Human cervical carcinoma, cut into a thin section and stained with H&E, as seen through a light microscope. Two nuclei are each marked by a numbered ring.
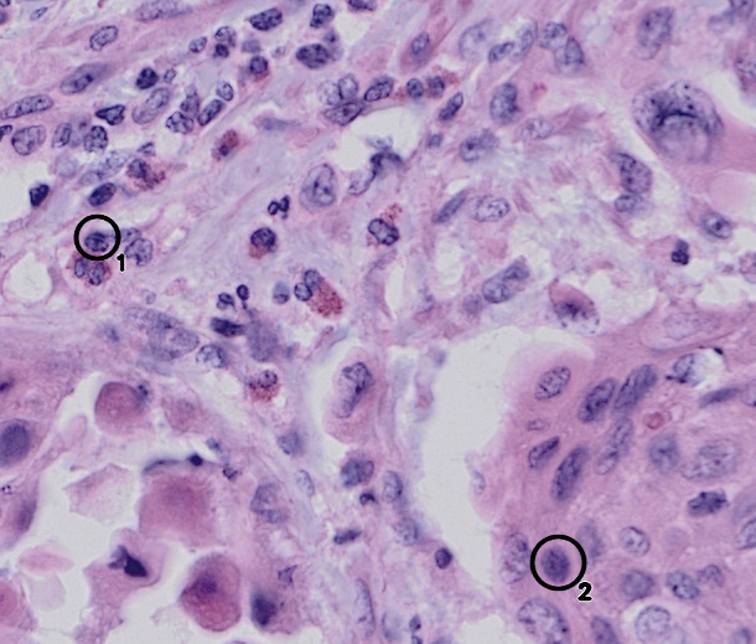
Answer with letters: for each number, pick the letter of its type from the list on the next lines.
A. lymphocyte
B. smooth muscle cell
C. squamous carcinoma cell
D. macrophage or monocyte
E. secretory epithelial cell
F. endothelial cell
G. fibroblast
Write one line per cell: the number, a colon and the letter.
1: A
2: C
